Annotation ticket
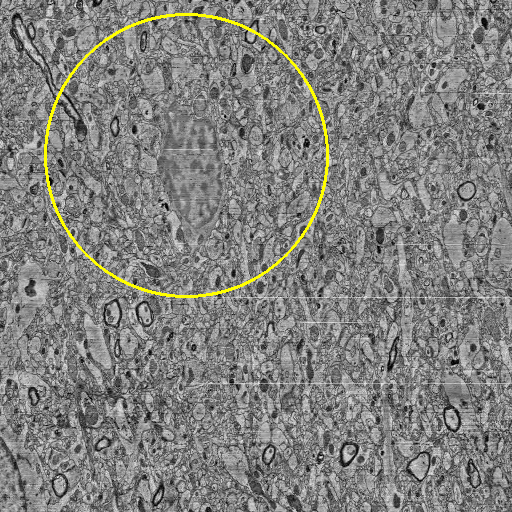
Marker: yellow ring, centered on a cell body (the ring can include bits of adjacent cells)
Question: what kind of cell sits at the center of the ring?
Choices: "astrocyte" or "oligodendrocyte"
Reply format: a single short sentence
The ring is centered on an oligodendrocyte.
